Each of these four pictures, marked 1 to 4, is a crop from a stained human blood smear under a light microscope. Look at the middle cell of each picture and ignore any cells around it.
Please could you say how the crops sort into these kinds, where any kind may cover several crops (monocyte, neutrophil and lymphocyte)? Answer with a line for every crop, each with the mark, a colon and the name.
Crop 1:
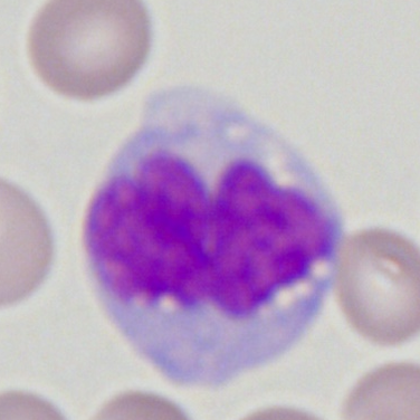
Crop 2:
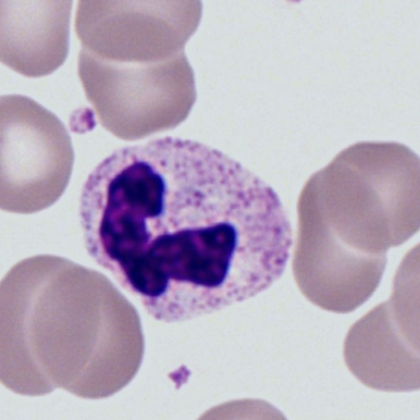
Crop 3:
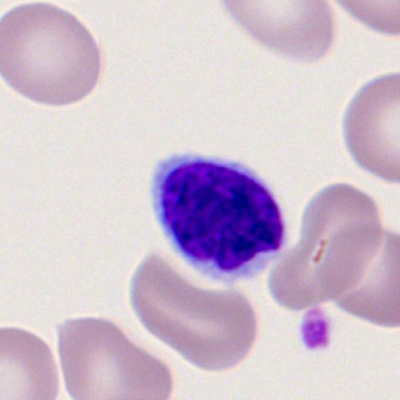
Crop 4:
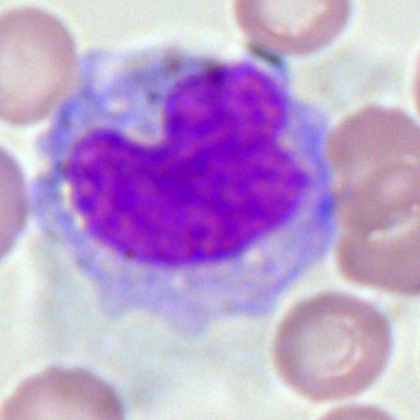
1: monocyte
2: neutrophil
3: lymphocyte
4: monocyte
